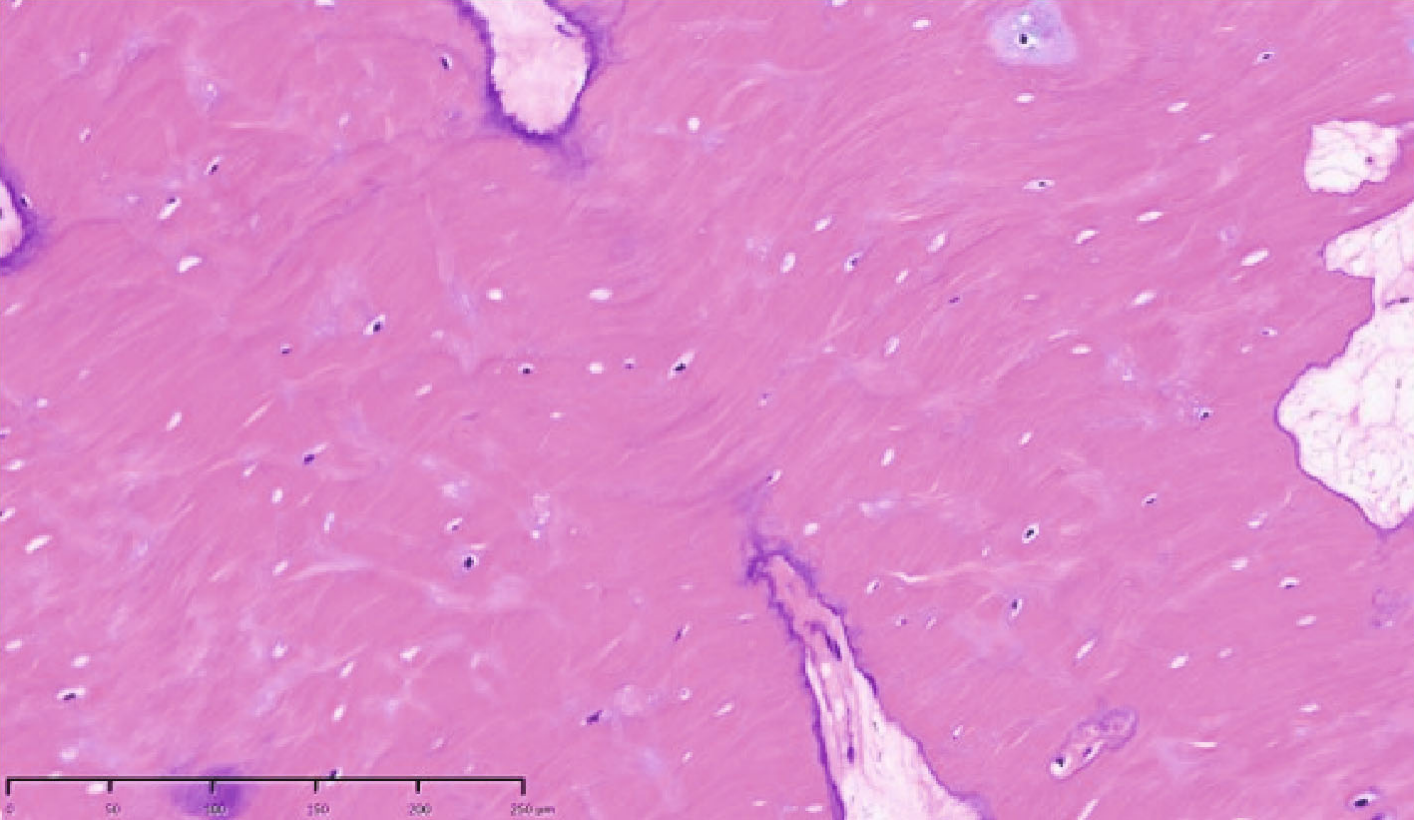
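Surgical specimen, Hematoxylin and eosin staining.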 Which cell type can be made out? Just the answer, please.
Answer: Osteocytes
